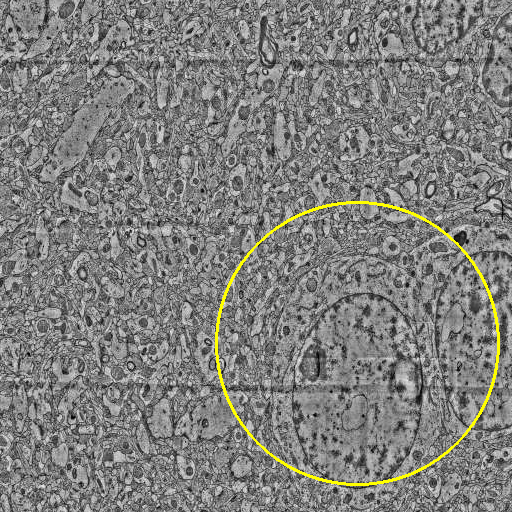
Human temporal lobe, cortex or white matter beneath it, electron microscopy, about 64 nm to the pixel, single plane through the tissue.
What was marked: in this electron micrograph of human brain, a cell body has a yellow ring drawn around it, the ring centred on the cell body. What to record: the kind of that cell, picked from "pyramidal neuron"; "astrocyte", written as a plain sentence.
The centred cell is a pyramidal neuron.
